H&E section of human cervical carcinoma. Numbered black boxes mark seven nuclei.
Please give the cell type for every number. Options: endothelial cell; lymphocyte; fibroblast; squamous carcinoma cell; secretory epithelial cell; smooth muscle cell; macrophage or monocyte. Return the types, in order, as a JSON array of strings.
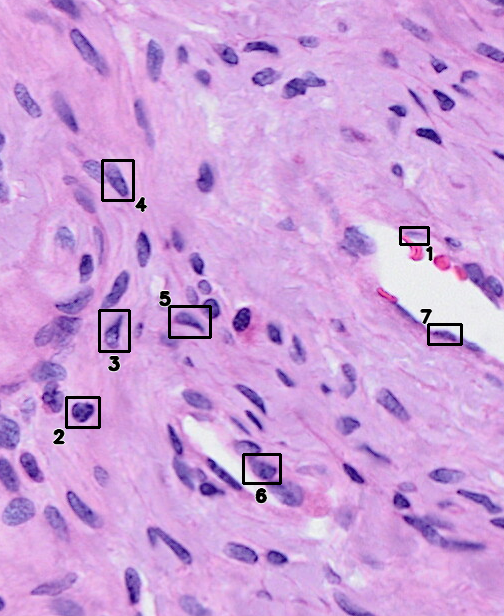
["endothelial cell", "lymphocyte", "fibroblast", "fibroblast", "fibroblast", "endothelial cell", "endothelial cell"]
